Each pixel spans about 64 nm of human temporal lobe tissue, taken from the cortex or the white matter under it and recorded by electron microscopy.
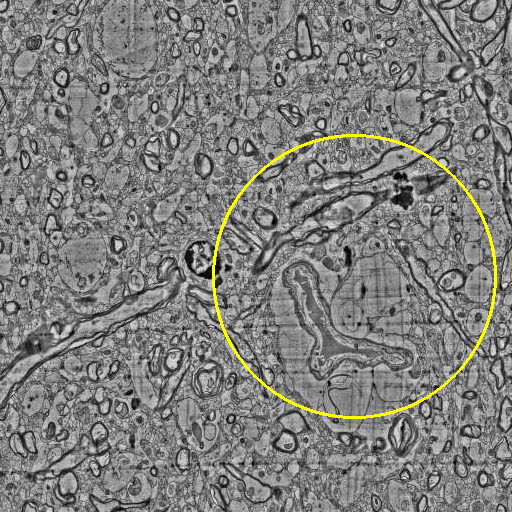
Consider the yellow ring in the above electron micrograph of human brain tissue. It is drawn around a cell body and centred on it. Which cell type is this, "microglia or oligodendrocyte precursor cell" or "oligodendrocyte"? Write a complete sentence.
The cell in question is an oligodendrocyte.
